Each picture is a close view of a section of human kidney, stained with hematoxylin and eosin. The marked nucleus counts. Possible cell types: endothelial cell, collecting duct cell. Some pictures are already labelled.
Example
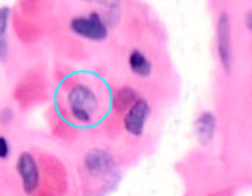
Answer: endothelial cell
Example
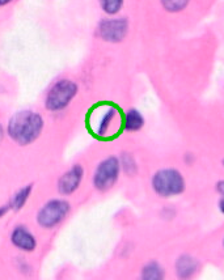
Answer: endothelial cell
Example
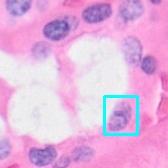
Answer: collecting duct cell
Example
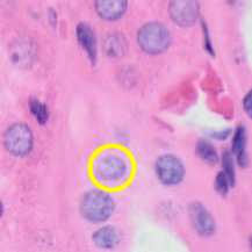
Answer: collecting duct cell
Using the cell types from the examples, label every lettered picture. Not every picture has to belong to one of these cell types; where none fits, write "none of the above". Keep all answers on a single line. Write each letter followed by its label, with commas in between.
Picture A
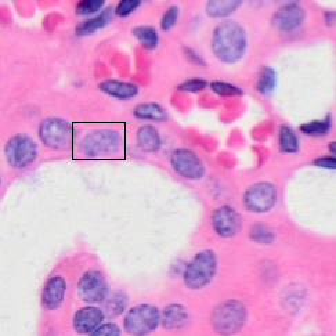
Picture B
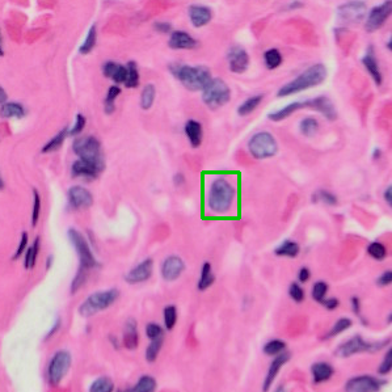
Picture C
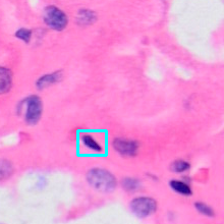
A collecting duct cell, B endothelial cell, C endothelial cell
